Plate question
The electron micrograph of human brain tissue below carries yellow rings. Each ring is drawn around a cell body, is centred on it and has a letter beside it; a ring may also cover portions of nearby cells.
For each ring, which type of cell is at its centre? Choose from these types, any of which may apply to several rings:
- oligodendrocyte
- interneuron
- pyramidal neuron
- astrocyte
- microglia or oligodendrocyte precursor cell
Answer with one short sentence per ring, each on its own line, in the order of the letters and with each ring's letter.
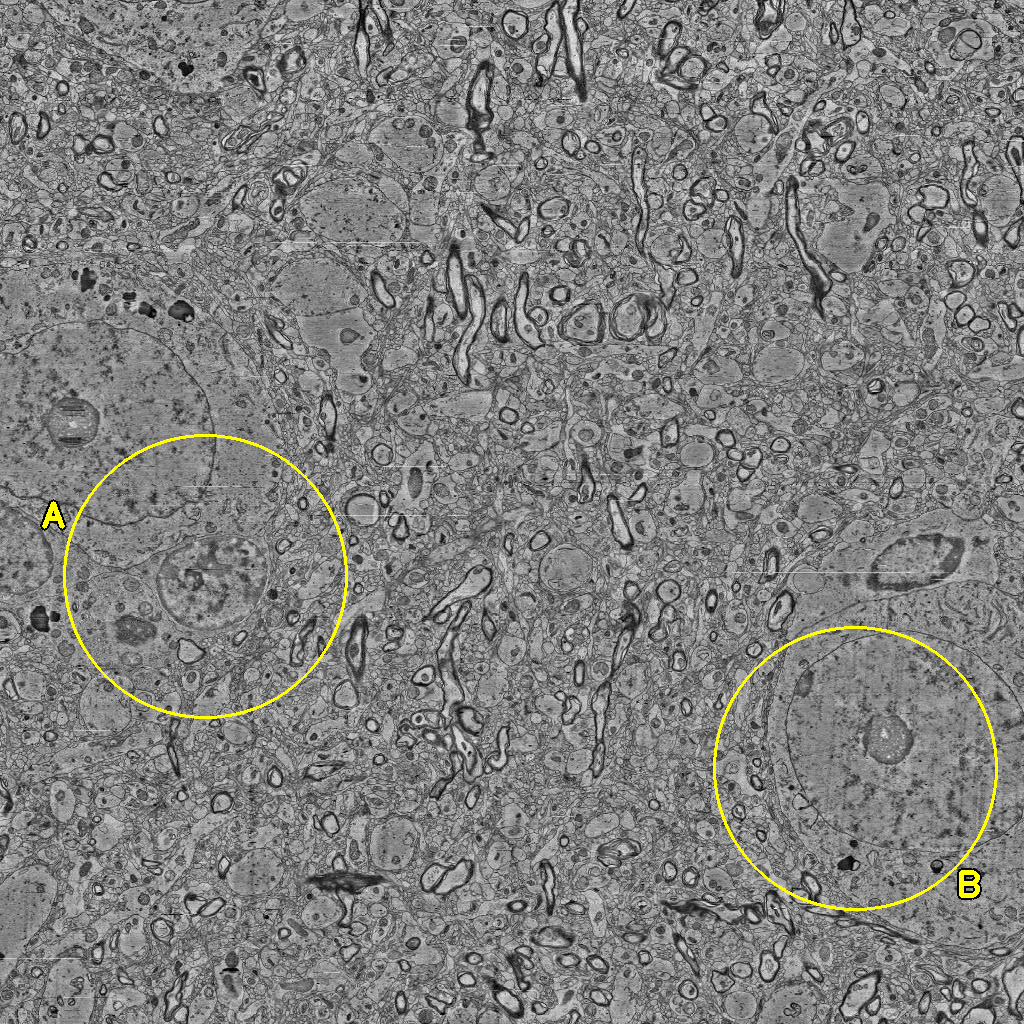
The cell ringed as A is an oligodendrocyte.
The cell ringed as B is a pyramidal neuron.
